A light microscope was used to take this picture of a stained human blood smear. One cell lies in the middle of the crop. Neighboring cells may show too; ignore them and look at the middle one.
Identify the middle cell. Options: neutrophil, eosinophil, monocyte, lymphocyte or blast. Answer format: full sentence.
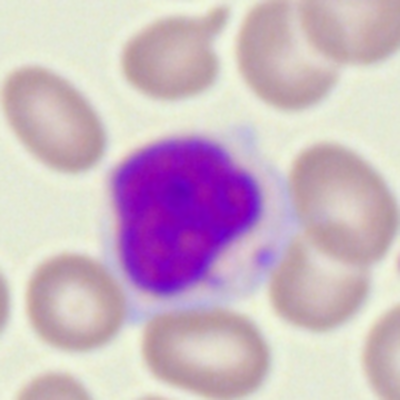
Looking at the middle of the crop, the cell there is a lymphocyte.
